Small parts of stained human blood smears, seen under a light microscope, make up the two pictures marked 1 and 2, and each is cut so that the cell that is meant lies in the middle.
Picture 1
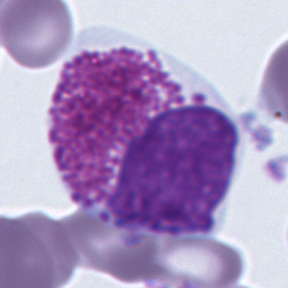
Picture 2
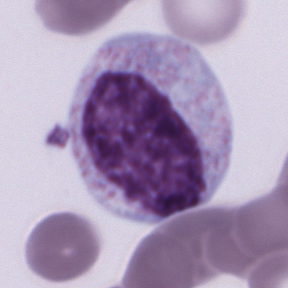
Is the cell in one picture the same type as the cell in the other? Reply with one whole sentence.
No. Picture 1 shows an eosinophil, but picture 2 shows a myelocyte.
